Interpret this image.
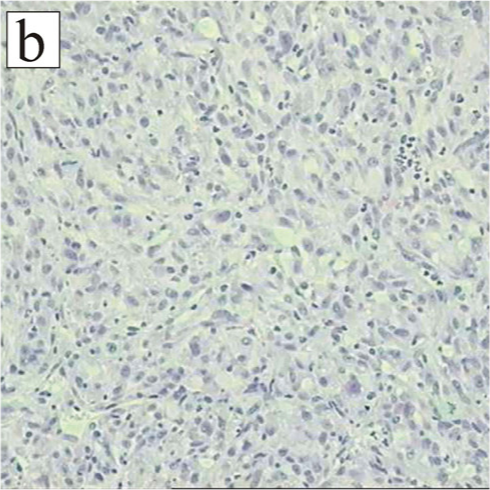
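The cells are mostly spindle-shaped to oval and run in loose, intersecting streams. Their nuclei are oval to elongated, stained blue-purple, and vary somewhat in size and shape. The cytoplasm is pale and poorly outlined, so the cell borders are hard to make out.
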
